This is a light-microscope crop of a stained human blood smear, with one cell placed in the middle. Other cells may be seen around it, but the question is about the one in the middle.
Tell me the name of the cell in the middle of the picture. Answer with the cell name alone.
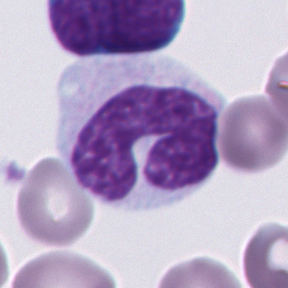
band neutrophil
